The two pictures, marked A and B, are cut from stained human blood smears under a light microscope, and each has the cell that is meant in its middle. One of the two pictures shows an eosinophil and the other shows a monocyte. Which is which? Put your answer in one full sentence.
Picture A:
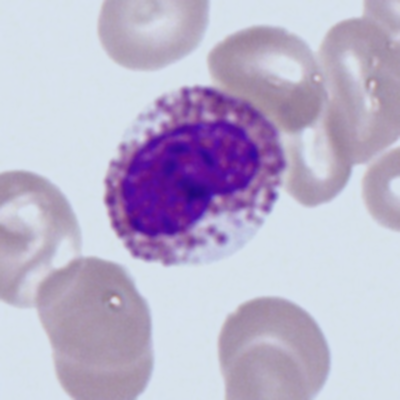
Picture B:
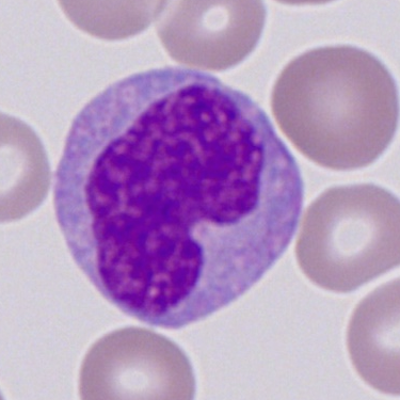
Picture B shows a monocyte, while picture A shows an eosinophil.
